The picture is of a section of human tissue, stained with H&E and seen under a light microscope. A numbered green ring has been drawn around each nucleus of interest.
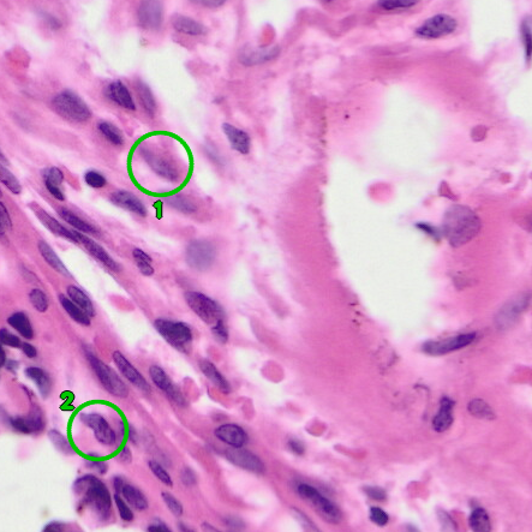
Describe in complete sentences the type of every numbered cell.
Cell 1 is a fibroblast and cell 2 is a macrophage or monocyte.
